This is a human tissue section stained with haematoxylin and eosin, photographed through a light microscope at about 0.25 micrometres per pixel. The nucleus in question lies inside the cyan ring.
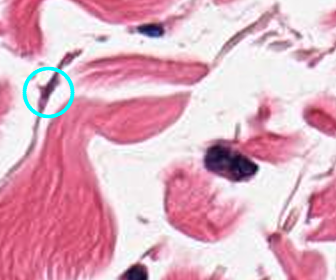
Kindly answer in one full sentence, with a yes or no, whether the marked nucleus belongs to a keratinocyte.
No, what carries the marked nucleus is a supporting cell rather than a keratinocyte.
